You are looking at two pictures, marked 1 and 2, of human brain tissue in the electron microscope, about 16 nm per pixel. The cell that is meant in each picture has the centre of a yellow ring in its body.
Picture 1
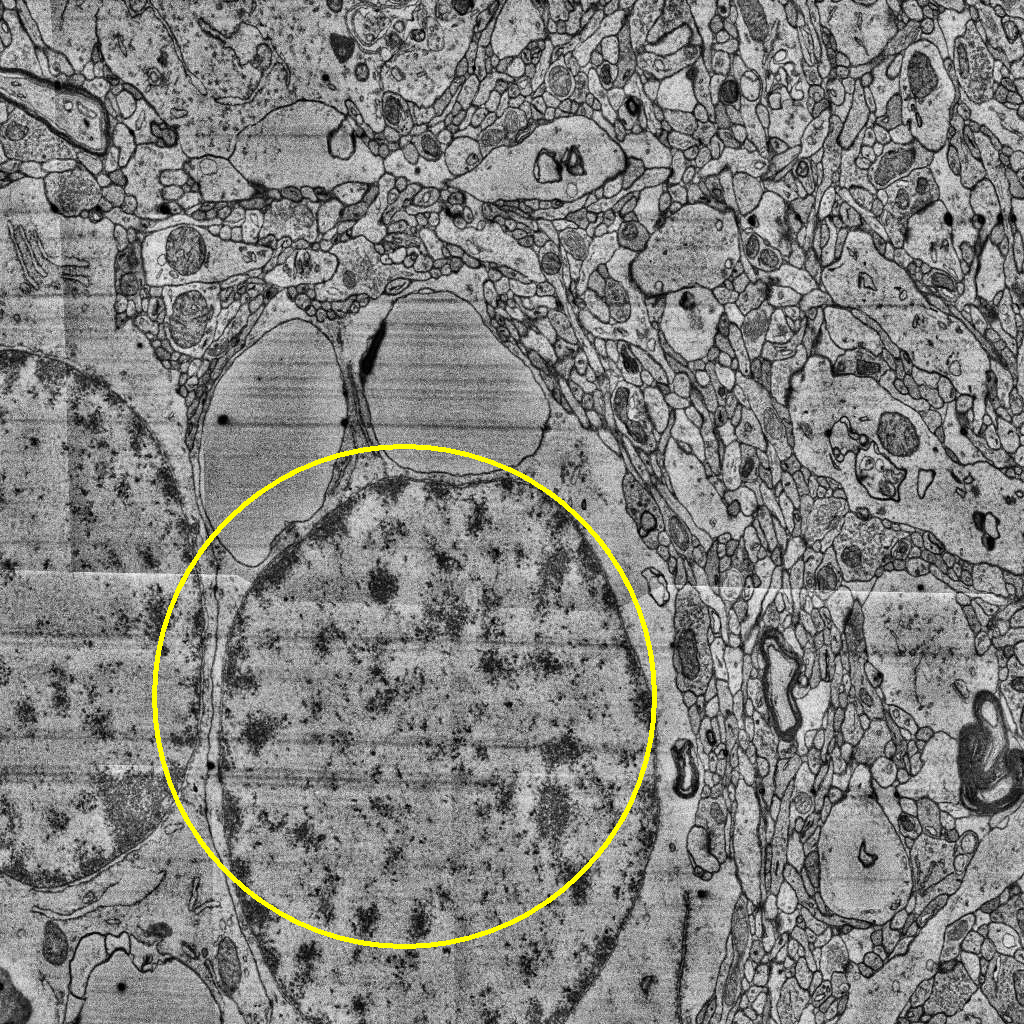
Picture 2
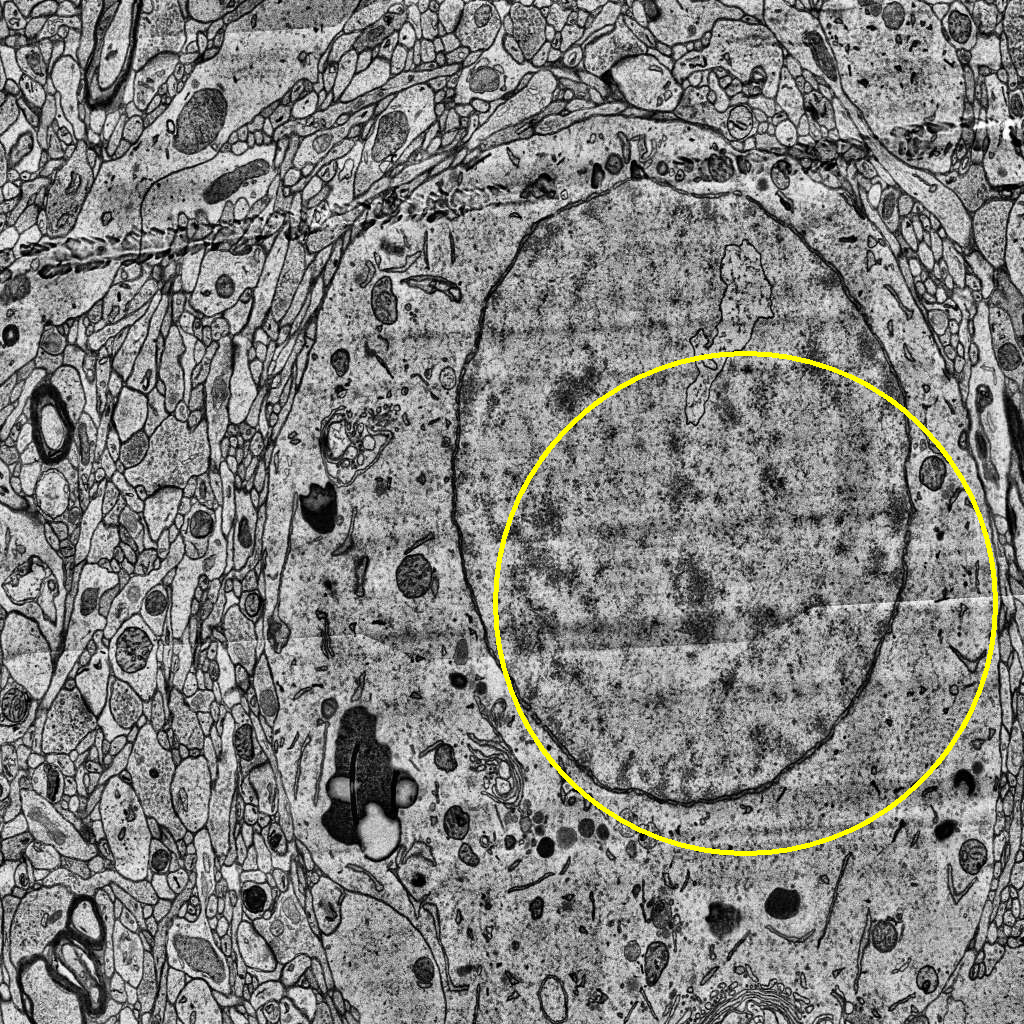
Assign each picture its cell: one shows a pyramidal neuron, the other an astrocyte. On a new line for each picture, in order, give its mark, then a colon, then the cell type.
1: astrocyte
2: pyramidal neuron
